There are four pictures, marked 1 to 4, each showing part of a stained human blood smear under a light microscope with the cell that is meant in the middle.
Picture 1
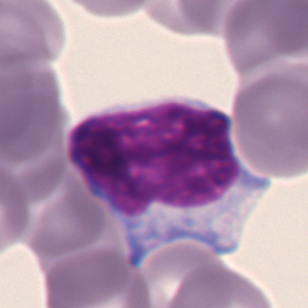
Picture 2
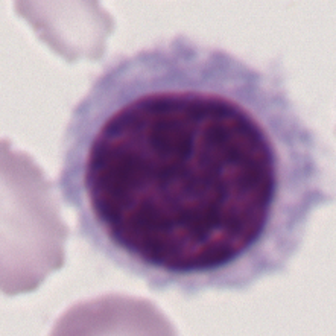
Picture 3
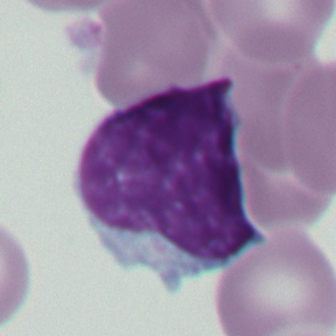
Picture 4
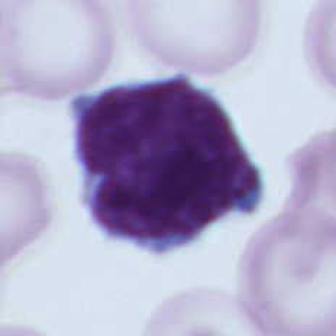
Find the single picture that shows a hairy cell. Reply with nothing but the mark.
2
